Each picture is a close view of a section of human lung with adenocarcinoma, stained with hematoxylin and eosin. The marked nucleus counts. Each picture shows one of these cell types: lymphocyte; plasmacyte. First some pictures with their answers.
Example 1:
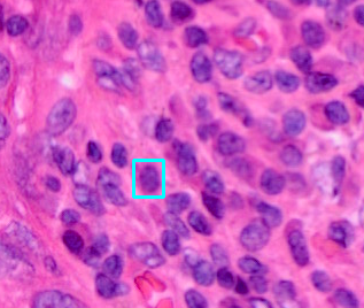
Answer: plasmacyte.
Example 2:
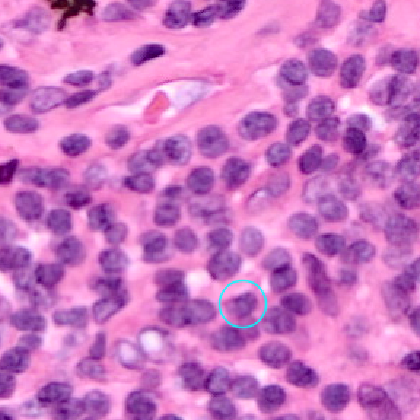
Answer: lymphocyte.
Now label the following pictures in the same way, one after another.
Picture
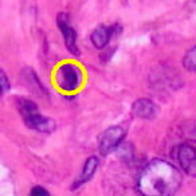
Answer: plasmacyte.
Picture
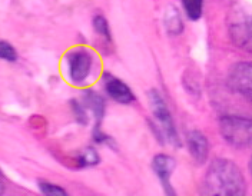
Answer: plasmacyte.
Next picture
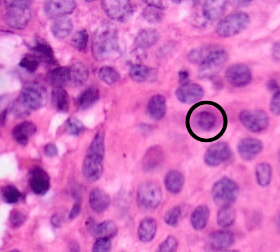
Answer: plasmacyte.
